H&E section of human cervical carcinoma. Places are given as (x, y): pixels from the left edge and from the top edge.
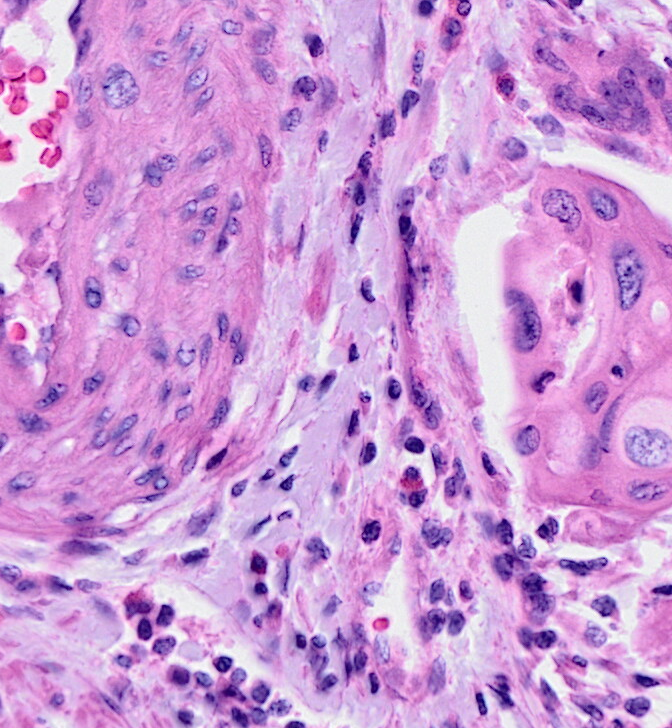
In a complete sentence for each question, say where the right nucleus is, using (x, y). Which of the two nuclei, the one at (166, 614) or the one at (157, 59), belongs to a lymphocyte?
The nucleus whose cell is a lymphocyte is the one at (166, 614).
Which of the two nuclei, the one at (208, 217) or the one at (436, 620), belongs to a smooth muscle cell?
The nucleus of a smooth muscle cell is the one at (208, 217).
